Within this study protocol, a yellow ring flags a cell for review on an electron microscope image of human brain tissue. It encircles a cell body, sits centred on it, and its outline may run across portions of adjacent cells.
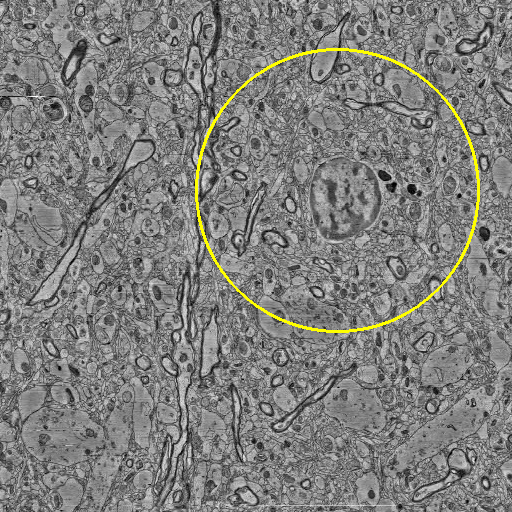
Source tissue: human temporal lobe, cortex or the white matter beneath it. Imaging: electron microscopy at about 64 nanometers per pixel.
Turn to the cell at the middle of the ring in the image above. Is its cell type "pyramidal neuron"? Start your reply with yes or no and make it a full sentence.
No, the cell at the ring's centre in the image above has another cell type.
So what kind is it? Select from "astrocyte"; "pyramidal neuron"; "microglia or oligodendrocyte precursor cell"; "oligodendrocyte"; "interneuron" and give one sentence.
Instead, the ringed cell here is a microglial cell or oligodendrocyte precursor cell.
